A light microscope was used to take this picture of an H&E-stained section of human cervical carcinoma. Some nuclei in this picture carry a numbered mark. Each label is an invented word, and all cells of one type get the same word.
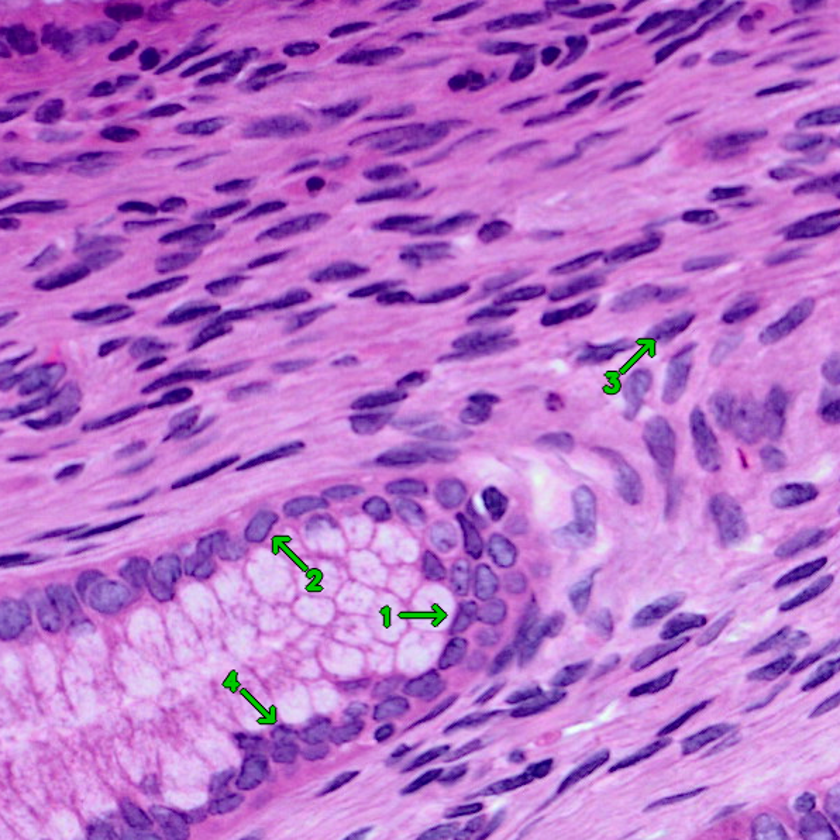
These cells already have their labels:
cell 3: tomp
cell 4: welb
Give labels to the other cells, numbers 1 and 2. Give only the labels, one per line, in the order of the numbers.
welb
welb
